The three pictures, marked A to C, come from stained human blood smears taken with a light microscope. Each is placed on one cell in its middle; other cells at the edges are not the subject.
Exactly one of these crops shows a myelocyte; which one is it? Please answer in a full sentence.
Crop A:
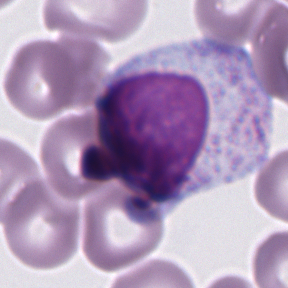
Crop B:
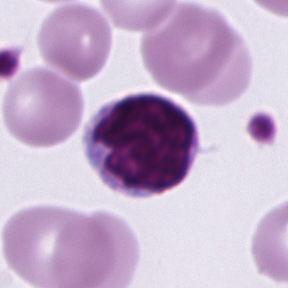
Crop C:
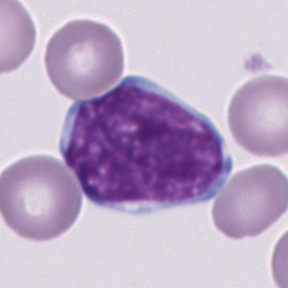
The crop that shows a myelocyte is crop A.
